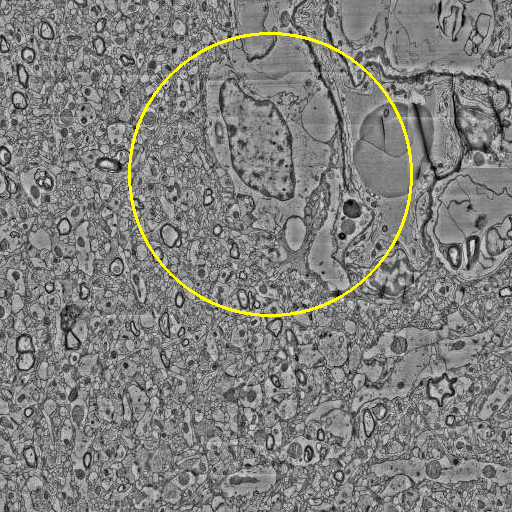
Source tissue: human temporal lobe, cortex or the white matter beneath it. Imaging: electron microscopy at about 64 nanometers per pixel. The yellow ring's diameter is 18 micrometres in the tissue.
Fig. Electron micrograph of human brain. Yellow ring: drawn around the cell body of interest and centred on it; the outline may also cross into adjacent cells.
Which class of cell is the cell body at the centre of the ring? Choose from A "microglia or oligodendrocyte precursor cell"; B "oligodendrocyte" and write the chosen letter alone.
A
